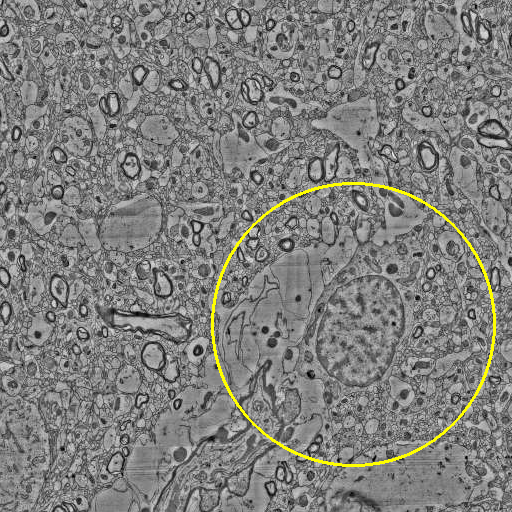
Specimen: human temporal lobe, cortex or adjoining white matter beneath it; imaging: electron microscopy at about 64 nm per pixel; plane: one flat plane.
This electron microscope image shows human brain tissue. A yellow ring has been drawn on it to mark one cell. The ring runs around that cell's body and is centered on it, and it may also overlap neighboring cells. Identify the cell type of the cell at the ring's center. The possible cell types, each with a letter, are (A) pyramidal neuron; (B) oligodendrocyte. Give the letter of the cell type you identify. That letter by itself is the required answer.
B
